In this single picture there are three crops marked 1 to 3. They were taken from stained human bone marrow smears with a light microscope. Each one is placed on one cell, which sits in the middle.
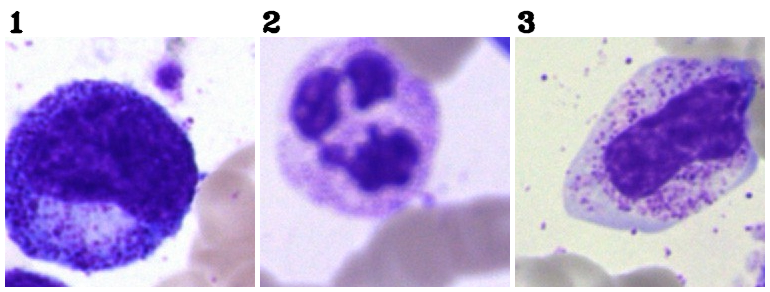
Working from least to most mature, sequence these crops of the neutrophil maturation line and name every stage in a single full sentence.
The sequence from earliest to most advanced maturity is crop 1 (a promyelocyte), crop 3 (a metamyelocyte) and crop 2 (a segmented neutrophil).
